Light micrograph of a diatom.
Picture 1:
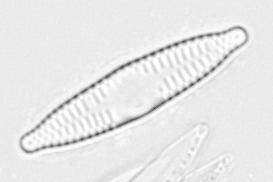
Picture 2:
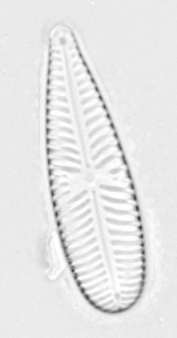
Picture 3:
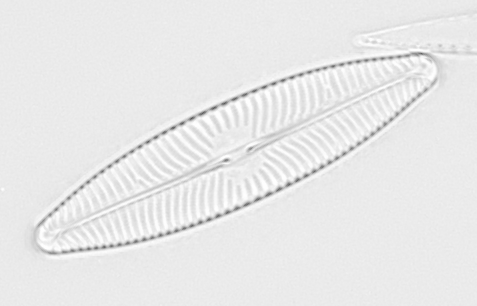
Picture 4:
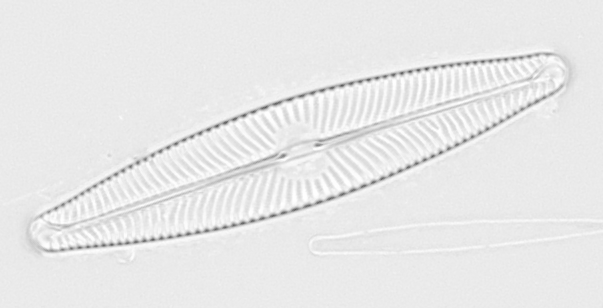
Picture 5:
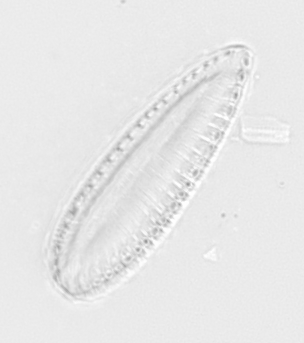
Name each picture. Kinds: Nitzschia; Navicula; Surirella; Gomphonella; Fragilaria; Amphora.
1. Fragilaria
2. Gomphonella
3. Navicula
4. Navicula
5. Surirella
